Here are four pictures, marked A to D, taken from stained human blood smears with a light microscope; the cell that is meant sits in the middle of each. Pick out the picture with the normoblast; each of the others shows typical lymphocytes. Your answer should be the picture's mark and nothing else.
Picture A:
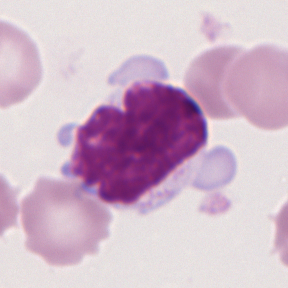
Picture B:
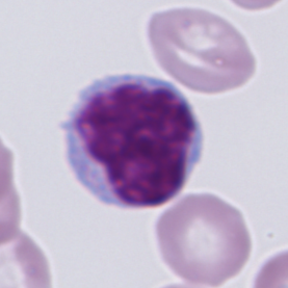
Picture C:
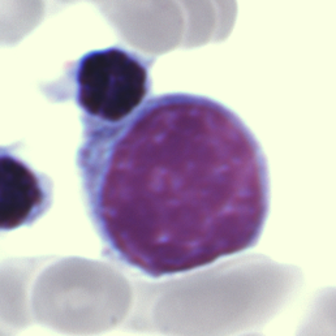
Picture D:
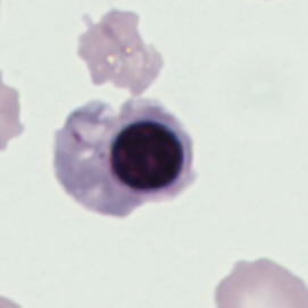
D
